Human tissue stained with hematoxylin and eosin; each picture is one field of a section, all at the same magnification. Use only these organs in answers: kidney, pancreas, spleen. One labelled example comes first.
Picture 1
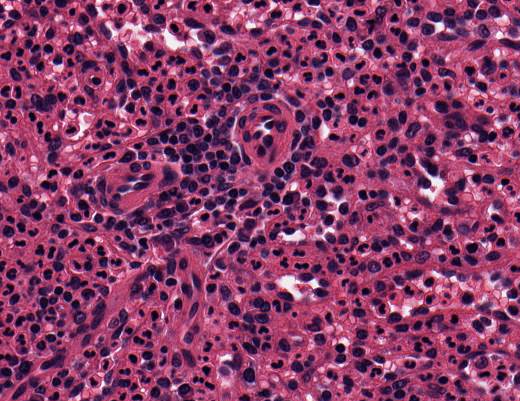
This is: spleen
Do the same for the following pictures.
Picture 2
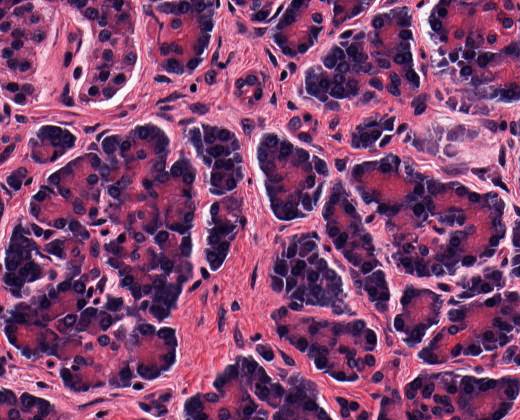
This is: pancreas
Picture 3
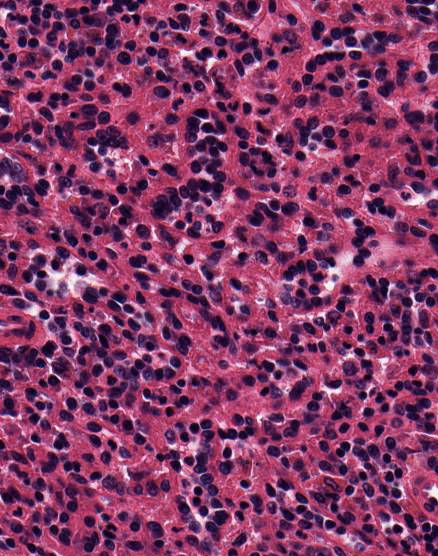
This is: spleen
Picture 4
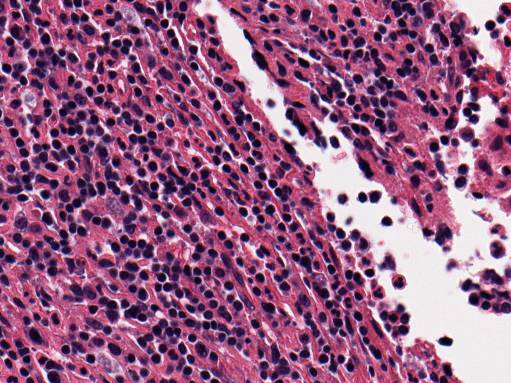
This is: spleen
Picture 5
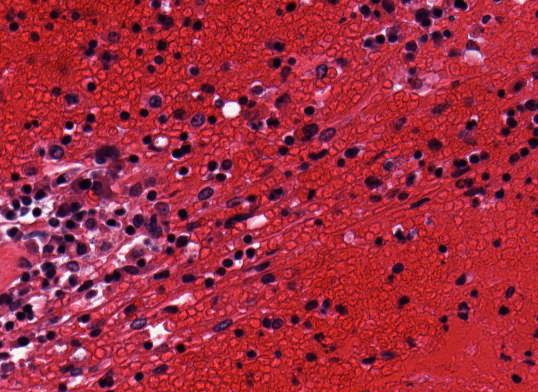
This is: spleen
